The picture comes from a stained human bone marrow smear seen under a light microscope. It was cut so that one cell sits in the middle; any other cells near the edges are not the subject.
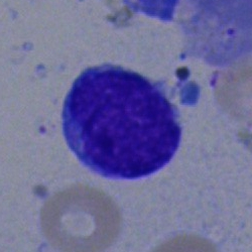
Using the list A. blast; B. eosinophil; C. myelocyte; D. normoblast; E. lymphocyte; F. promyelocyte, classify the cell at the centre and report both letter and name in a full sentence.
What sits in the middle of the crop is a blast, and option A is correct.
